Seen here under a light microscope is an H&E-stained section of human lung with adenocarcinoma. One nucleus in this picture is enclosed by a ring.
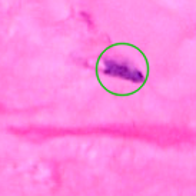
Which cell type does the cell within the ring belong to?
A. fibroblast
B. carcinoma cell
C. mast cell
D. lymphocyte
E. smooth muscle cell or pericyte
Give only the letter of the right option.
A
